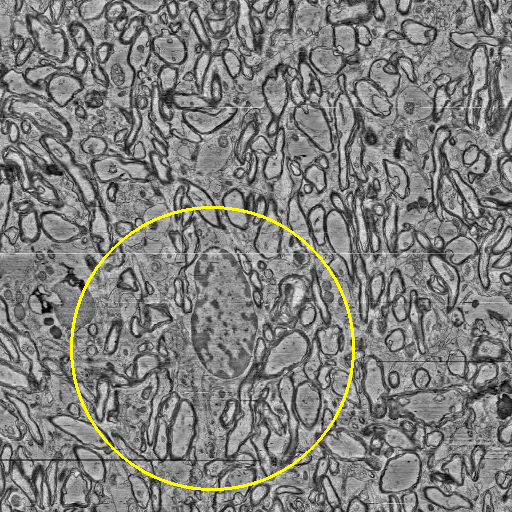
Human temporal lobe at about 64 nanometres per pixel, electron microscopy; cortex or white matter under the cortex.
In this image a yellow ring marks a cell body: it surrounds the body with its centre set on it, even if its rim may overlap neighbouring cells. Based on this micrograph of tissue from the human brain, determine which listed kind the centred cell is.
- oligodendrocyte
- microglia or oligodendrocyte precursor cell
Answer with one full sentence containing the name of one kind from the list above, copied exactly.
It is a microglial cell or oligodendrocyte precursor cell whose body the yellow ring encloses at its centre.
